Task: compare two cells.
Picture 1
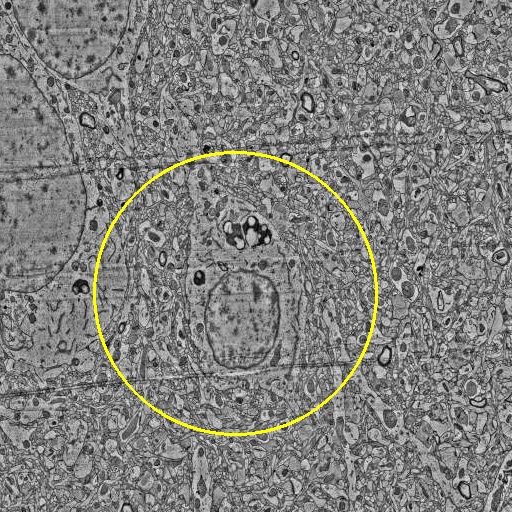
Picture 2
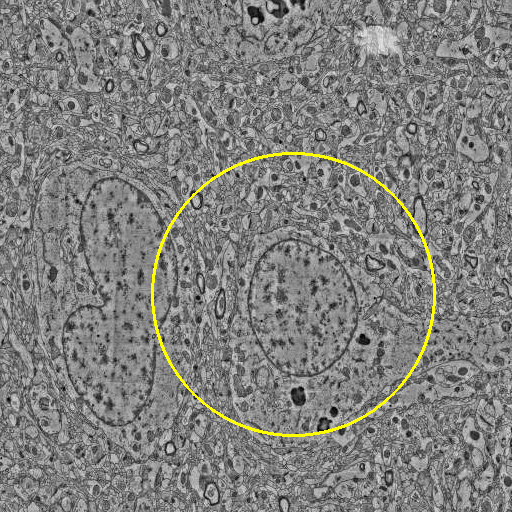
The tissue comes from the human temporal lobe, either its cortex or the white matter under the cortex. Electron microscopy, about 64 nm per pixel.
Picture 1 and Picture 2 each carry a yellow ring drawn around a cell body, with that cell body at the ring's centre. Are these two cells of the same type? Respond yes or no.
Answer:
yes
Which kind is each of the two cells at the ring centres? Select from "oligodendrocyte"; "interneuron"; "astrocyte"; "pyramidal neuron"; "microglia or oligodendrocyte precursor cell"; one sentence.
Both rings mark a pyramidal neuron, one in each picture.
